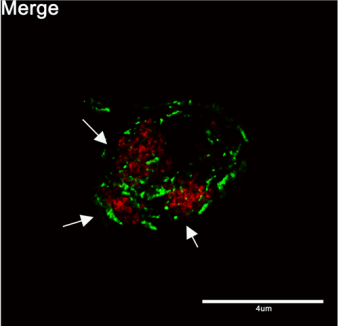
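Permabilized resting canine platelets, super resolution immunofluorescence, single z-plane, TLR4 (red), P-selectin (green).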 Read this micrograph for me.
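Numerous short, rod-like green granules are scattered through it, many toward the rim. Red clusters of fine dots gather in a few patches toward the centre and lower part of the cell. Arrows point to spots where the red lies next to or among the green granules. No nucleus is seen.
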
